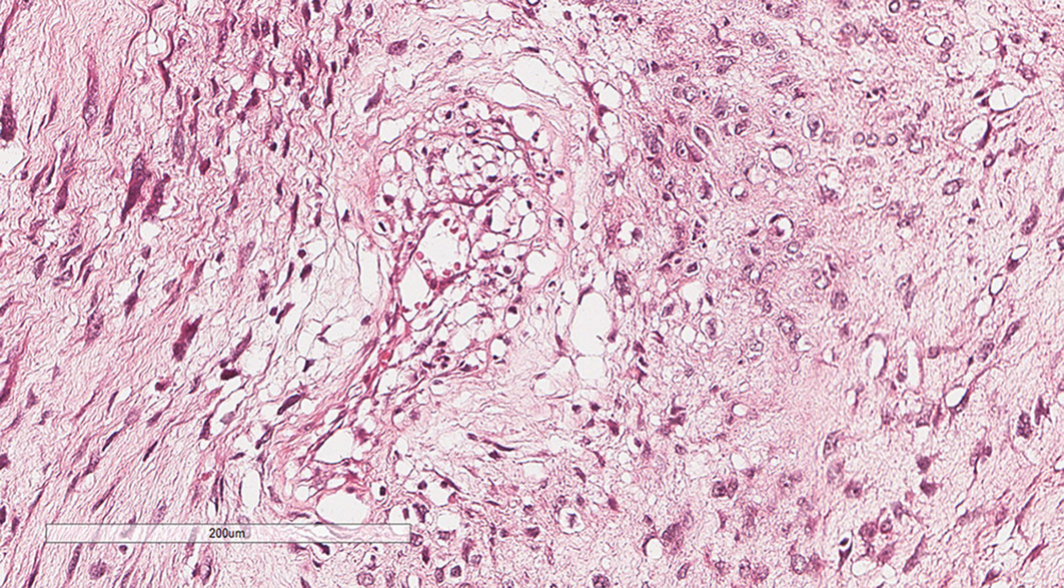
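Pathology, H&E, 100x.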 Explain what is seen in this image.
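This is a tumor with spindle-shaped, pleomorphic cells set in partly myxoid stroma. On the left, elongated cells with long, dark, tapering nuclei run in parallel bundles through pink fibrillary stroma. In the middle, the stroma turns pale and loose, with many clear round vacuoles of different sizes separated by thin pink strands. On the right, the cells are plumper, with irregular nuclei and clear spaces in or around their cytoplasm.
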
